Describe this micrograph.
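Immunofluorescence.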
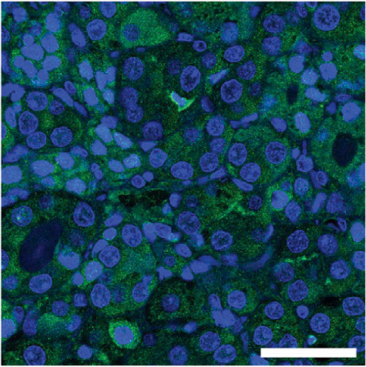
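Densely packed tissue cells are shown with round to oval blue nuclei and green-stained cytoplasm. Some nuclei are larger and darker, and some flattened elongate nuclei lie between the rounder cells. The green stain is granular and fills the cytoplasm unevenly, brighter in some cells than in others.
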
